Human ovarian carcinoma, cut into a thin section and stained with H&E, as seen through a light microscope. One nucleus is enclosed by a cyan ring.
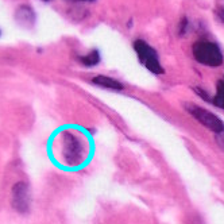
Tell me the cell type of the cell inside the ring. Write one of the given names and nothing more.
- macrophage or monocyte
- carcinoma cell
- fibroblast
fibroblast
